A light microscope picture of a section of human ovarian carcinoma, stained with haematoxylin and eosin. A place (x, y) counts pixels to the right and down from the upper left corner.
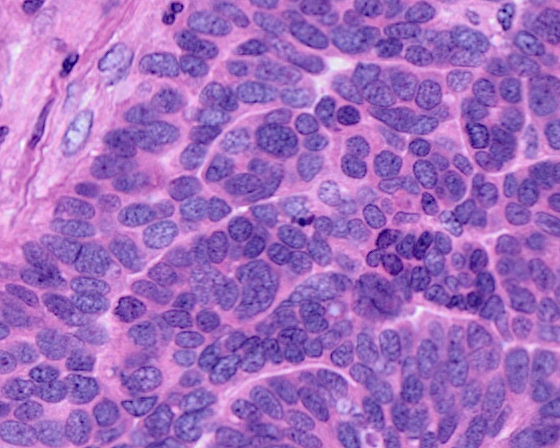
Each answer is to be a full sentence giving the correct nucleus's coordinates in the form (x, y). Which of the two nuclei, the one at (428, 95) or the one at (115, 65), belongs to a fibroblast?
Belonging to a fibroblast is the nucleus at (115, 65).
